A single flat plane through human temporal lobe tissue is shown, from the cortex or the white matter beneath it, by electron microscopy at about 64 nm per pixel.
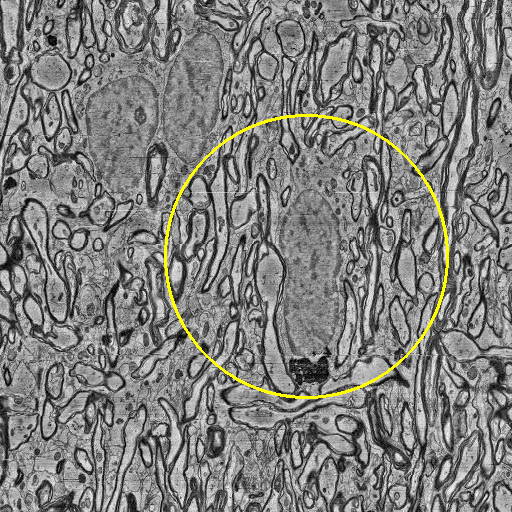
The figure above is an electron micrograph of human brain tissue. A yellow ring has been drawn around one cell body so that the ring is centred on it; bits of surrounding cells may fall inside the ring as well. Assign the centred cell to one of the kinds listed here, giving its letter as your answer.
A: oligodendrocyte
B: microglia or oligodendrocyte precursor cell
A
